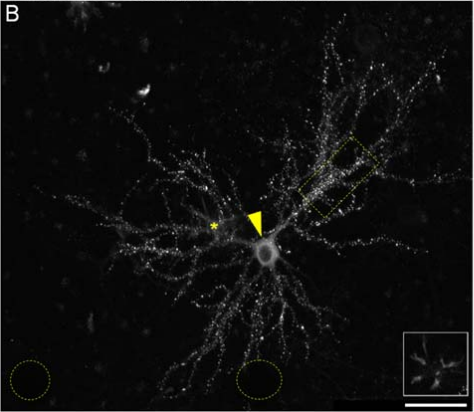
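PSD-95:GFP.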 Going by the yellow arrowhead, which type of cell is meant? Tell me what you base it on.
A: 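A single bright cell body lies beside the arrowhead. Many long, branching processes radiate from the cell body. The processes are studded with bright dots.
Hence: neuron.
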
